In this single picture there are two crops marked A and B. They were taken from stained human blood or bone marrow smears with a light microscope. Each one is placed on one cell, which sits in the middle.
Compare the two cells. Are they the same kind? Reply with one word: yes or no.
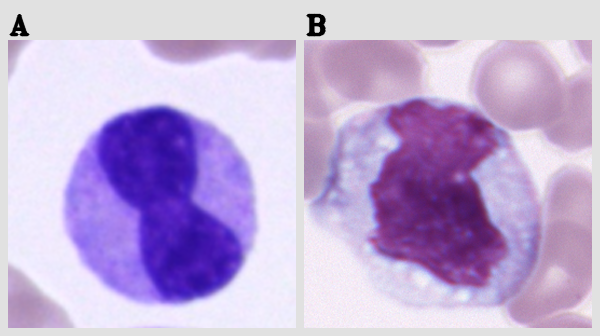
no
